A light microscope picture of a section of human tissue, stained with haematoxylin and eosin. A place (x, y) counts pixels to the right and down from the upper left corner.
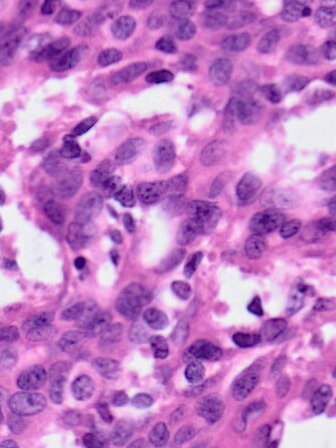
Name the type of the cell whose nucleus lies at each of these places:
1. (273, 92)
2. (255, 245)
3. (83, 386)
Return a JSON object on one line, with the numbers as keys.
{"1": "carcinoma cell", "2": "carcinoma cell", "3": "macrophage or monocyte"}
